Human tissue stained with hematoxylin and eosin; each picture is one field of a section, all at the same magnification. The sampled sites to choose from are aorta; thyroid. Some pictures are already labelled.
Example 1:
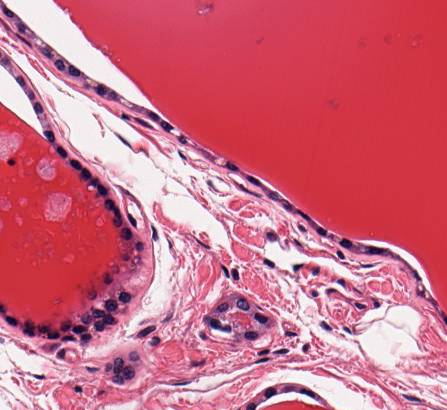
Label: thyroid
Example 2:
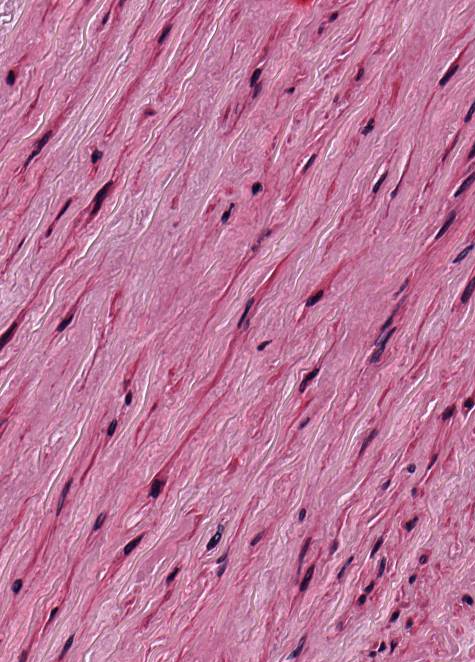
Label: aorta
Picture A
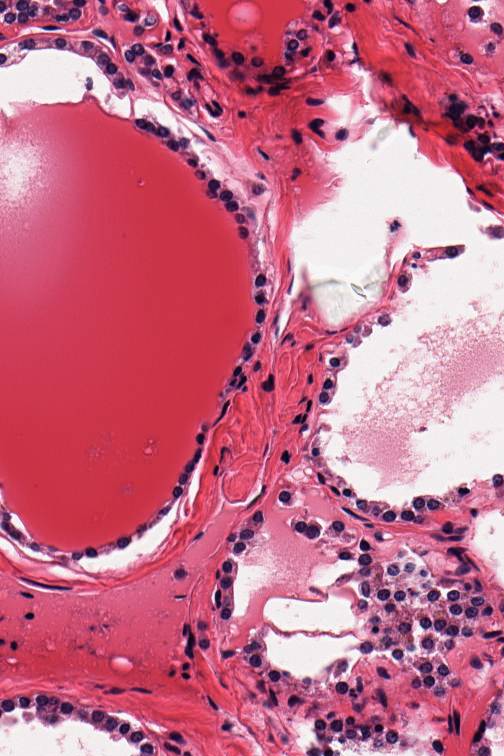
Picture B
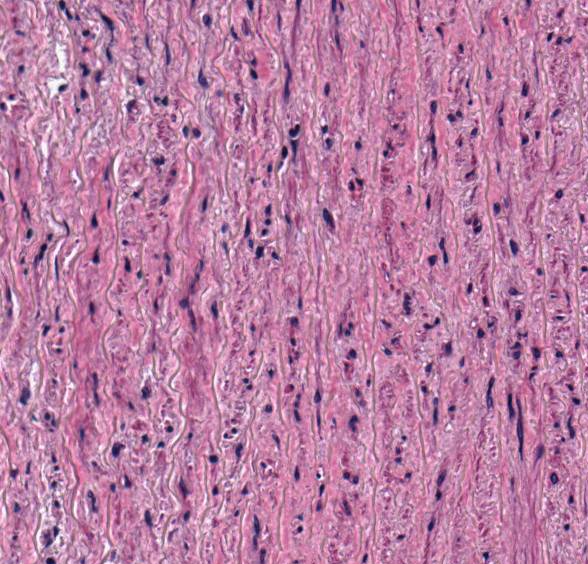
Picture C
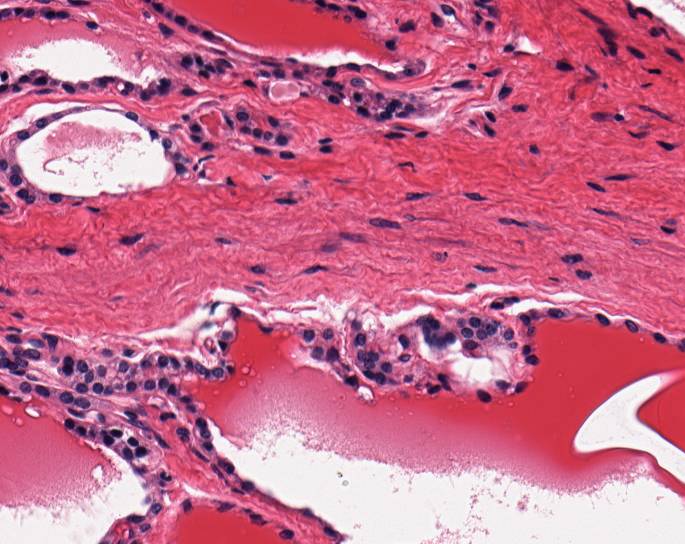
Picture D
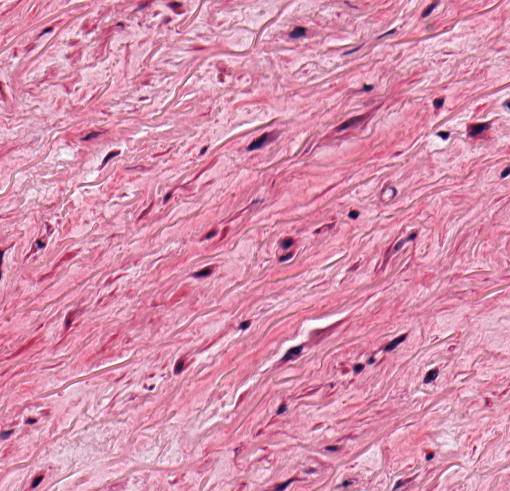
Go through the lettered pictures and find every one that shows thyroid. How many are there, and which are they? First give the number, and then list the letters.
Count: 2 (A, C)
